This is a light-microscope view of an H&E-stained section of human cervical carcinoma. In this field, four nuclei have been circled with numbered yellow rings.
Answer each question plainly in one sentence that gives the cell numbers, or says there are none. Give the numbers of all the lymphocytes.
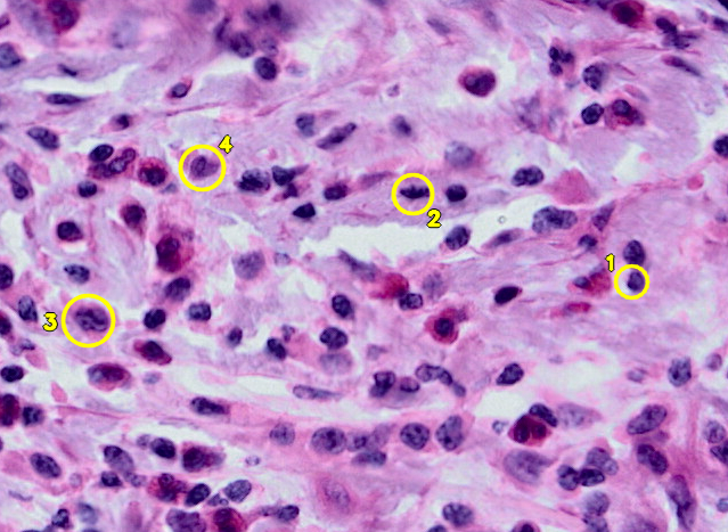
The cells with the number labels 1 and 2 are lymphocytes.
